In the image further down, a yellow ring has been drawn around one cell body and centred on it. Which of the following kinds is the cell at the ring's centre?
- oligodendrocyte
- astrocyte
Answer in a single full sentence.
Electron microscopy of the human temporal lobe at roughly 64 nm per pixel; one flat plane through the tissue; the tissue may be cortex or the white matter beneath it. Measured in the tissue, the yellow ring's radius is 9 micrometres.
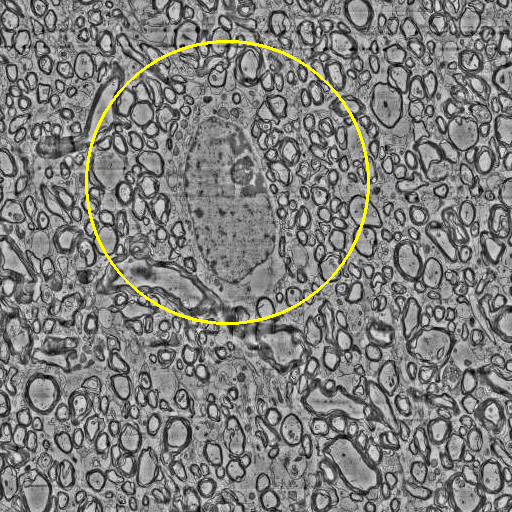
In the picture, the cell sitting at the centre of the yellow ring is an astrocyte.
